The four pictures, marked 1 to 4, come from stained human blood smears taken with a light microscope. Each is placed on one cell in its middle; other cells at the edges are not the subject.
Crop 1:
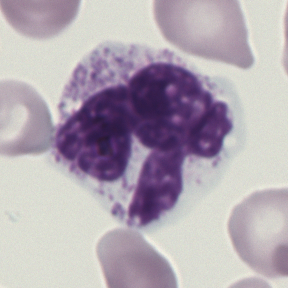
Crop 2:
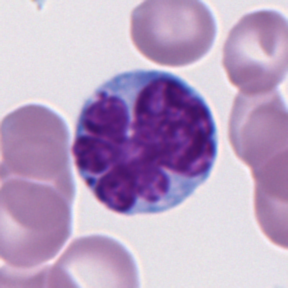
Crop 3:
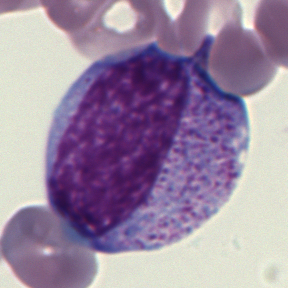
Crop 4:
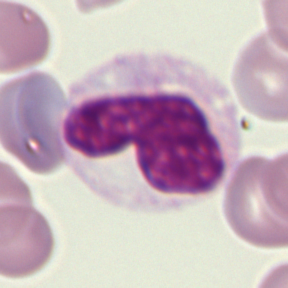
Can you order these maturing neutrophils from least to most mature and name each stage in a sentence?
Ranked by maturation stage, earliest first, the crops read crop 2 (a myeloblast), crop 3 (a promyelocyte), crop 4 (a band neutrophil) and crop 1 (a segmented neutrophil).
